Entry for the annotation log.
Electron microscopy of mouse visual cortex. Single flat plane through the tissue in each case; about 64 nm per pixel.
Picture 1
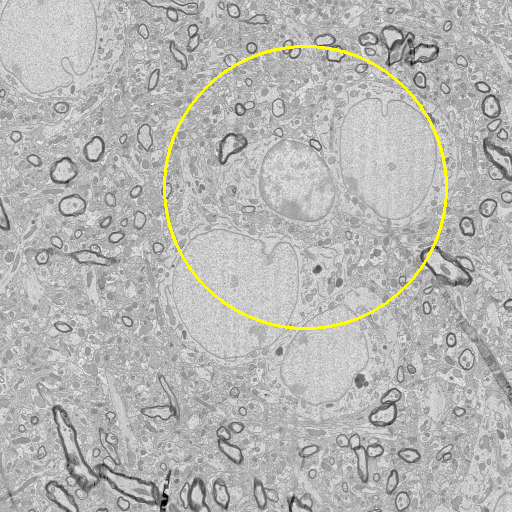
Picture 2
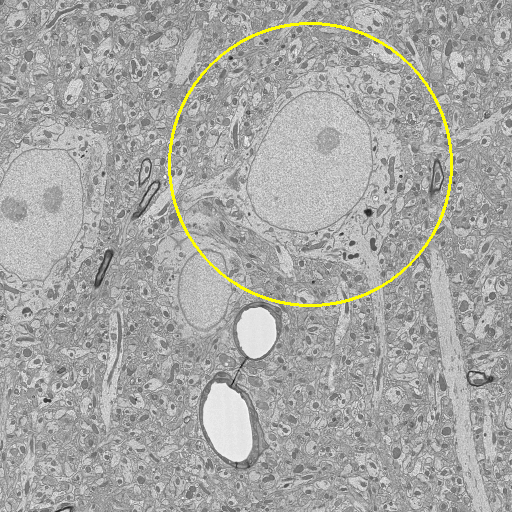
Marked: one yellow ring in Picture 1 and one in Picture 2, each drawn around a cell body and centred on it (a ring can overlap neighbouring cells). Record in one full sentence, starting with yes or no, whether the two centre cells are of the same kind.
No, the two cells are of two kinds.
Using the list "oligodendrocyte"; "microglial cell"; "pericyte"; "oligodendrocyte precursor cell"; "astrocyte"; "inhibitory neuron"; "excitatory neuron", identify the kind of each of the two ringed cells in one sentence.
The first is an oligodendrocyte and the second is an excitatory neuron.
